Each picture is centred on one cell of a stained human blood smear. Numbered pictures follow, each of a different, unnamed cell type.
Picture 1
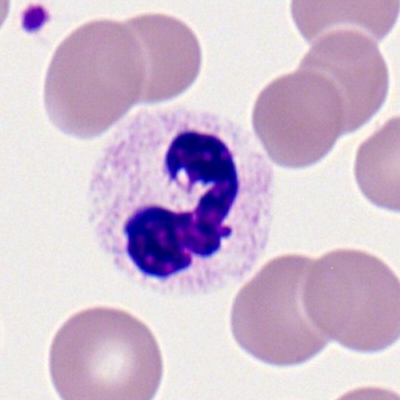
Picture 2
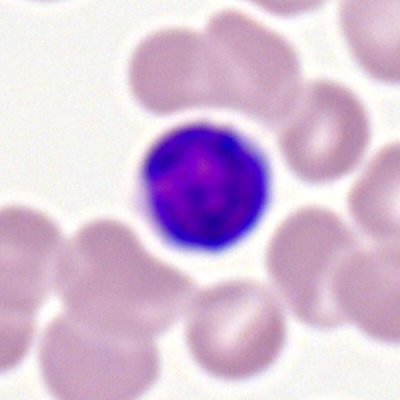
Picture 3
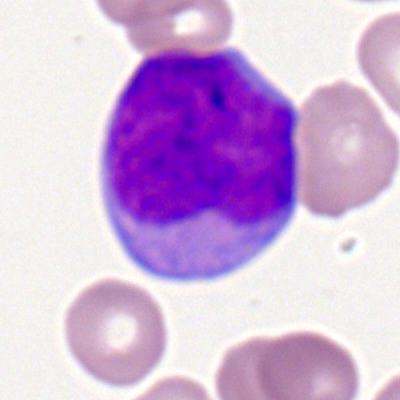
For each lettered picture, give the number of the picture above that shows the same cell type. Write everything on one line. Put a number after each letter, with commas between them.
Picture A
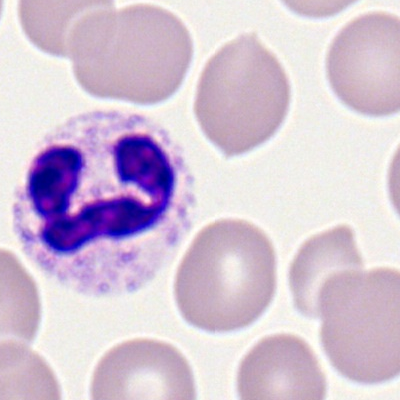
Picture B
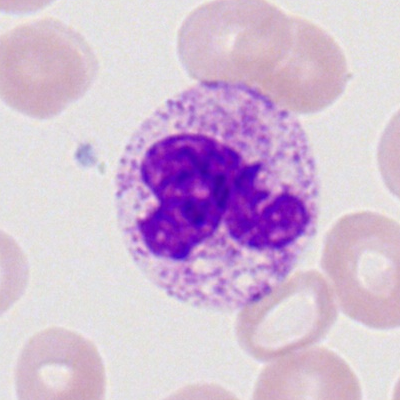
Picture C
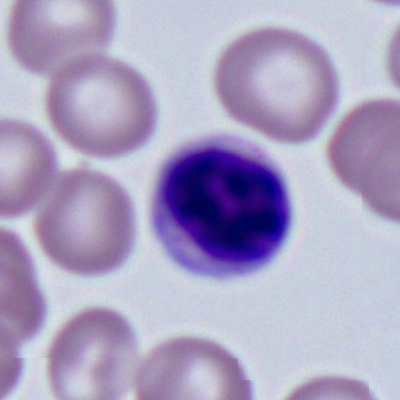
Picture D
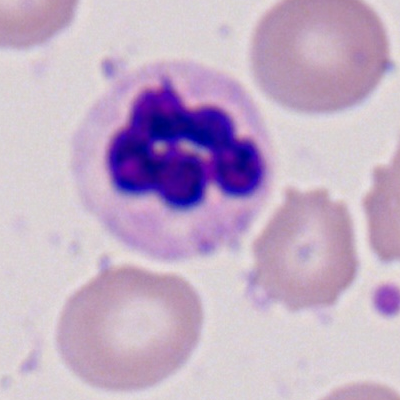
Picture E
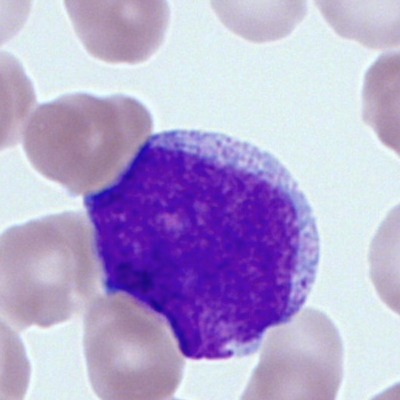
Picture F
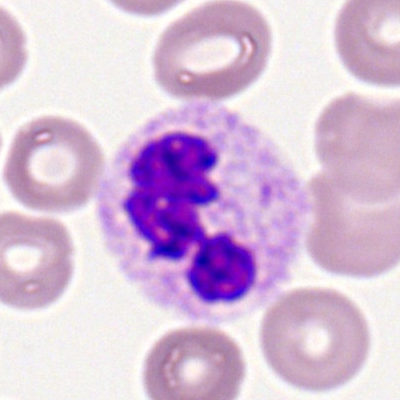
A 1, B 1, C 2, D 1, E 3, F 1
